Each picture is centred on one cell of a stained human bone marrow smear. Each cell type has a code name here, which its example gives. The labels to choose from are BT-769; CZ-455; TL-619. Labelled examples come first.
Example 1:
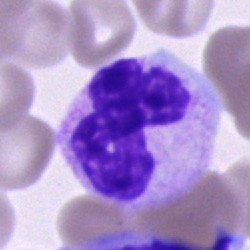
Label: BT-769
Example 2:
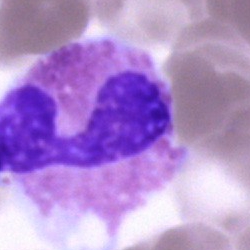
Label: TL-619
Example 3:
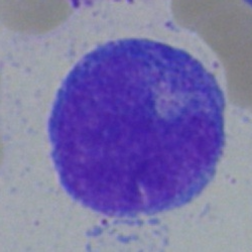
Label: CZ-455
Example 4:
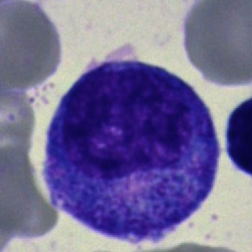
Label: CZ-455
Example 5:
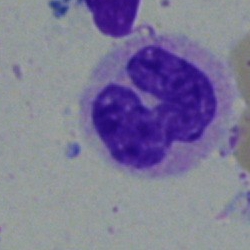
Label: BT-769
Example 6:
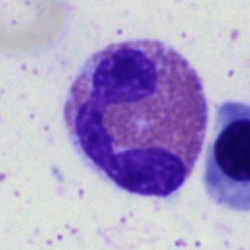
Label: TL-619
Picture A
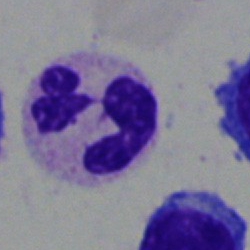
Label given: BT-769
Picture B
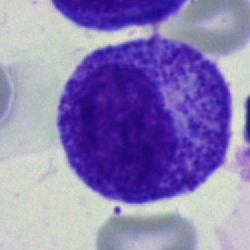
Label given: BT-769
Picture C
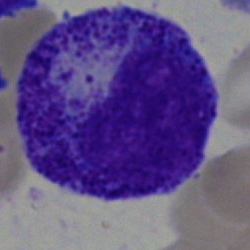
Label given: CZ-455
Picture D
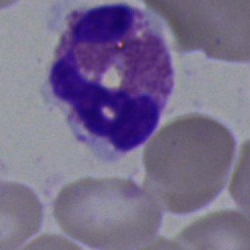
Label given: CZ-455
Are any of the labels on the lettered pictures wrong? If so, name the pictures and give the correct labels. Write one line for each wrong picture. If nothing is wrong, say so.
Wrong: B (BT-769); correct: CZ-455
Wrong: D (CZ-455); correct: TL-619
